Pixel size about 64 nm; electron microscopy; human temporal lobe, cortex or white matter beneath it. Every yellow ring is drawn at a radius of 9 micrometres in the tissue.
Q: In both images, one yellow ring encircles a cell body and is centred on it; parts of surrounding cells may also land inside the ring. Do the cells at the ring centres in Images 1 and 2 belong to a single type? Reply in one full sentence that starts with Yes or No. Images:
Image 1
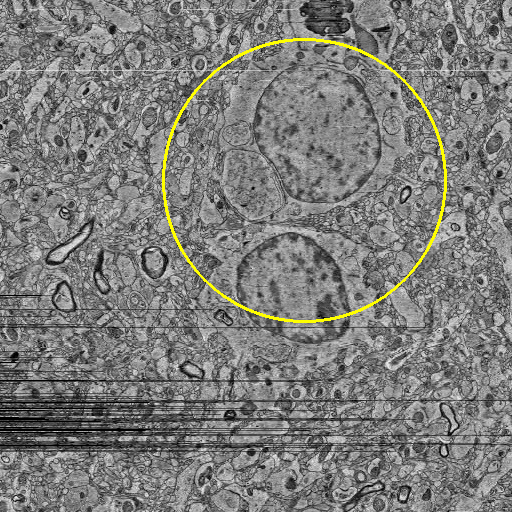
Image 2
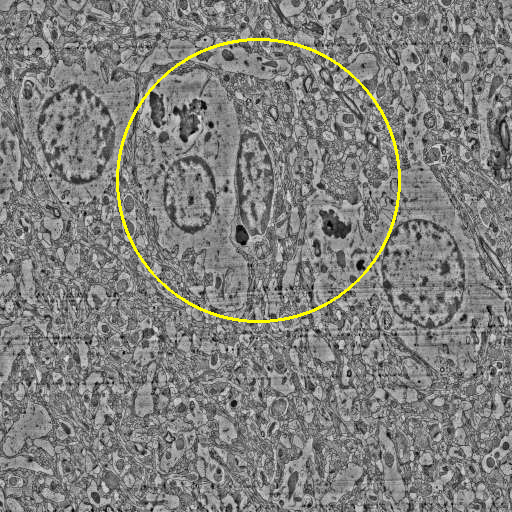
No, the cells at the ring centres in Images 1 and 2 are of two types.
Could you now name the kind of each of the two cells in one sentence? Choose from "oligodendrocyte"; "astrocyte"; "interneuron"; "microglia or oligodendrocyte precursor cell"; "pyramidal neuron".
The first ring encloses an astrocyte; the second ring encloses a microglial cell or oligodendrocyte precursor cell.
